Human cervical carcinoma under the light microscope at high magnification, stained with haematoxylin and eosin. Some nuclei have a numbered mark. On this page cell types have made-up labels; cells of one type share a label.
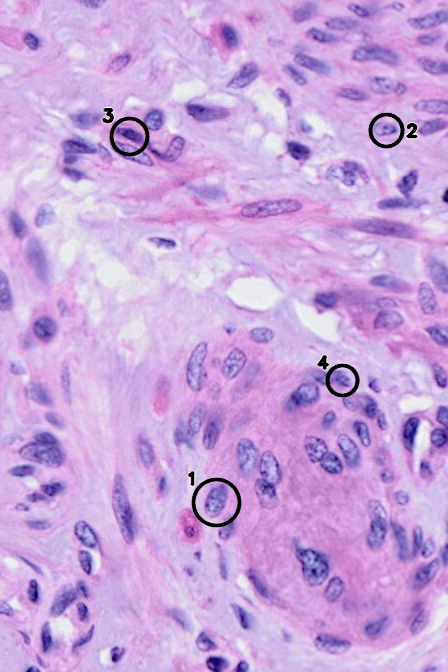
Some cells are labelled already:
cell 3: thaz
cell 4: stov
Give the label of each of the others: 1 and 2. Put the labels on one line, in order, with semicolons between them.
stov; stov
